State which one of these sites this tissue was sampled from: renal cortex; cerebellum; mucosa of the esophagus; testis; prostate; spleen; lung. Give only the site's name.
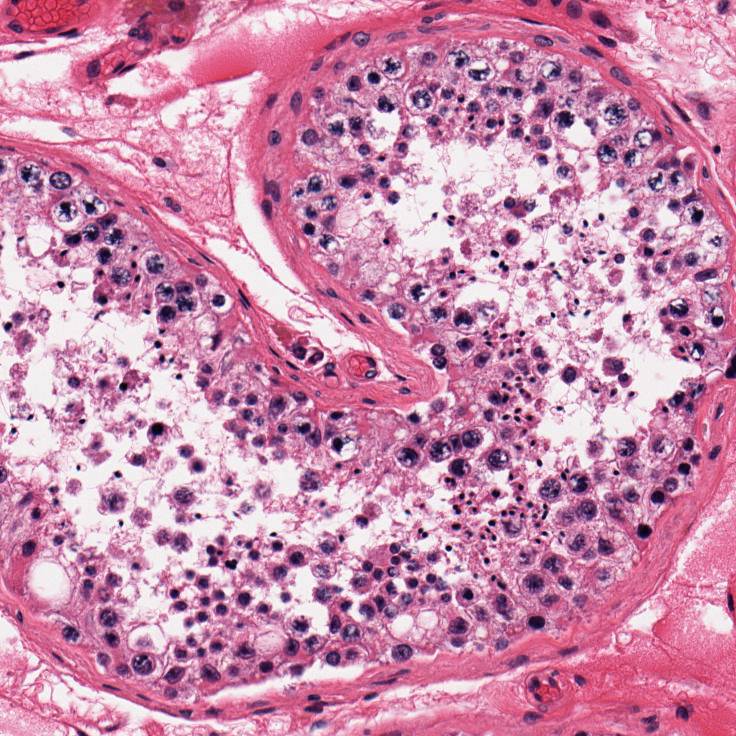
testis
